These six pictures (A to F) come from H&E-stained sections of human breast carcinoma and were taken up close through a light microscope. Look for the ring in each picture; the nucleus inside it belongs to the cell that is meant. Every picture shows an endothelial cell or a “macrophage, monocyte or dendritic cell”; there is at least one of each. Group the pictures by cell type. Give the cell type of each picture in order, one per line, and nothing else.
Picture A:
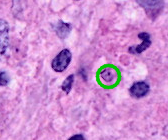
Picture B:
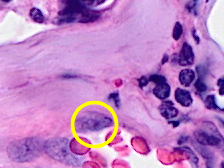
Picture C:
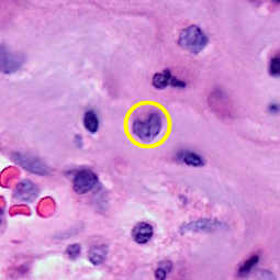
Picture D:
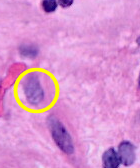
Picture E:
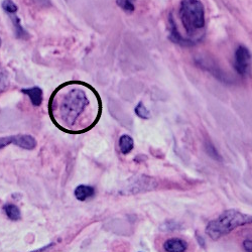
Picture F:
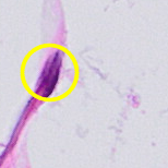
macrophage, monocyte or dendritic cell
endothelial cell
macrophage, monocyte or dendritic cell
endothelial cell
macrophage, monocyte or dendritic cell
endothelial cell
